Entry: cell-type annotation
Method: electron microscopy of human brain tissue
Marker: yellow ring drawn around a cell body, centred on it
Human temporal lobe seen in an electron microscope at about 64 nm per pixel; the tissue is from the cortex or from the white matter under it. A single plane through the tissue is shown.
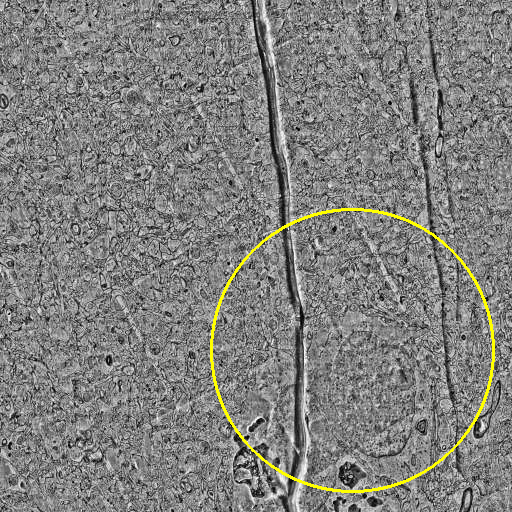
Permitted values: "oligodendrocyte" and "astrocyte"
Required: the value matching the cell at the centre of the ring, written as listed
astrocyte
